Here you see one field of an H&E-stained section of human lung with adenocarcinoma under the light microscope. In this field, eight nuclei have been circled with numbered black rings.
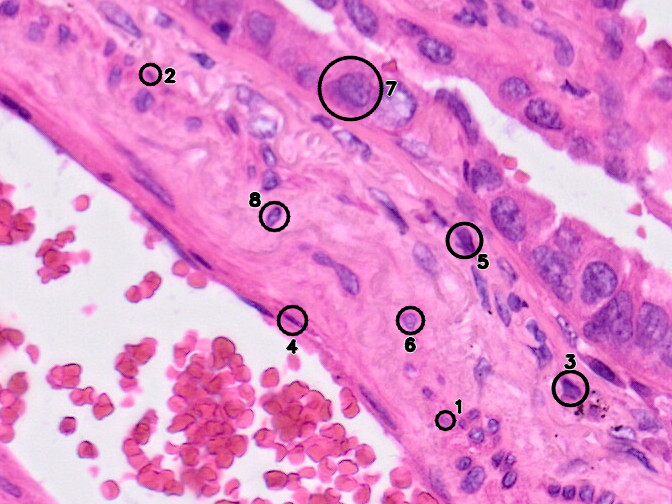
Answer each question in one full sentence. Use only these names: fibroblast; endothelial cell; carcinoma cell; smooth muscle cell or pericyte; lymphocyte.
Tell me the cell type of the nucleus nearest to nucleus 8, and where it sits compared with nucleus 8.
The closest nucleus belongs to a smooth muscle cell or pericyte and sits above nucleus 8.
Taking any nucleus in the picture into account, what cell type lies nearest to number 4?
The nearest nucleus to number 4 belongs to an endothelial cell.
